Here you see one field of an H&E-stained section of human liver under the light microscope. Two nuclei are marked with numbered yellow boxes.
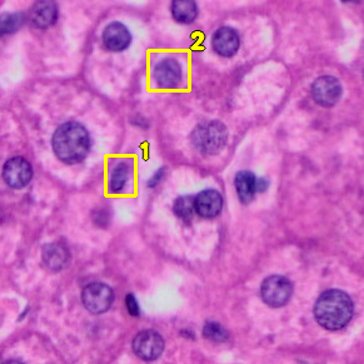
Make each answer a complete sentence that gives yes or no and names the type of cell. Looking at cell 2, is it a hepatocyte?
Yes, the cell at number 2 is a hepatocyte.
